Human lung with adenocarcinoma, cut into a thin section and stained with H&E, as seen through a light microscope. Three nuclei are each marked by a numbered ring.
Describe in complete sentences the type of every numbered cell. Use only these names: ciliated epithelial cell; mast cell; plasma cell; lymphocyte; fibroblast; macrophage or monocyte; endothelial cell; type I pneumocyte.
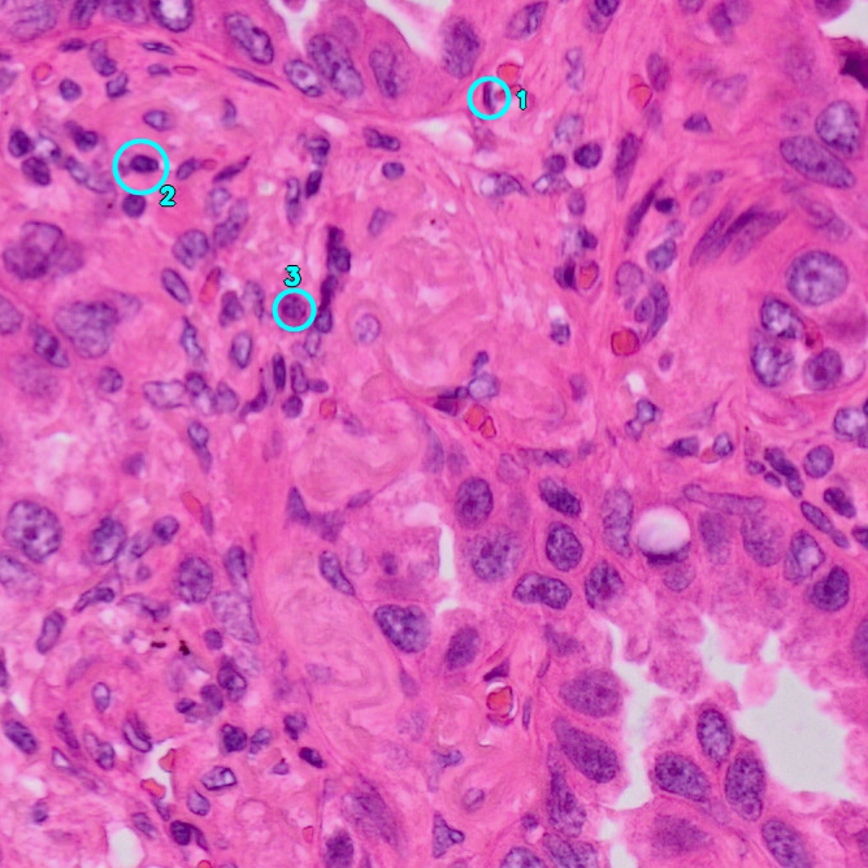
Cell 1 is an endothelial cell, cell 2 is a lymphocyte and cell 3 is a plasma cell.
